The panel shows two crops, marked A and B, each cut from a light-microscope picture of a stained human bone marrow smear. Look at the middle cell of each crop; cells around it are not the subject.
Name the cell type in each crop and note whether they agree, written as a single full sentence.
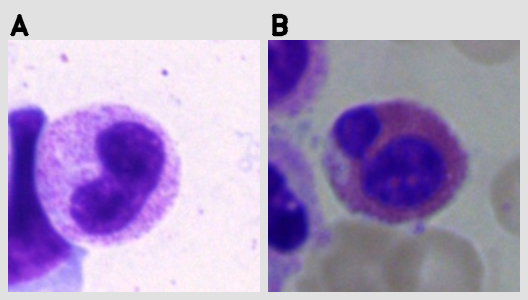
No, crop A displays a metamyelocyte and crop B displays an eosinophil.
